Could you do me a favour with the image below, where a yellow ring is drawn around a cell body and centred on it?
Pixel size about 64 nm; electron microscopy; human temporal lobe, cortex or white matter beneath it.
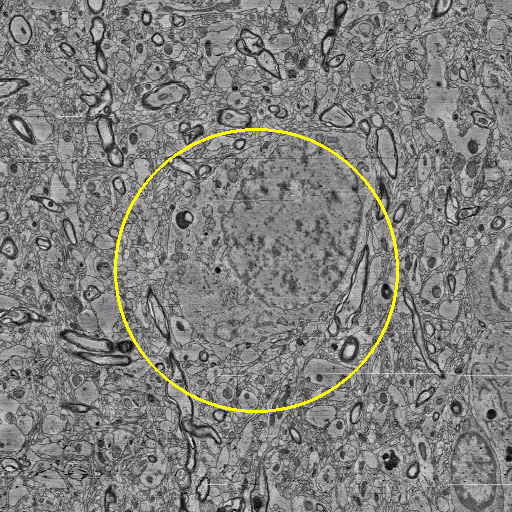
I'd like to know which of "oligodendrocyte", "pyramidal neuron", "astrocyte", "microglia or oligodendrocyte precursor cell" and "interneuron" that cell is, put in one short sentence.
The cell at the ring's centre is an interneuron.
